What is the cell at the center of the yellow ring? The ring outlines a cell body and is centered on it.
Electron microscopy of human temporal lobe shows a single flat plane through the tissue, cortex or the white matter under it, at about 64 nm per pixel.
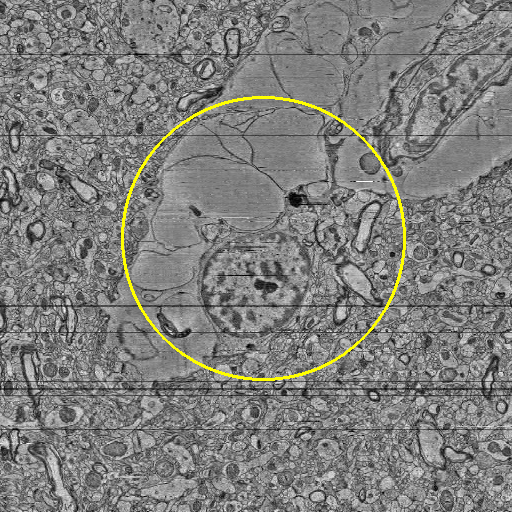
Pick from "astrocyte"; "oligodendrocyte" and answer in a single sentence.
The yellow ring is centered on an oligodendrocyte.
